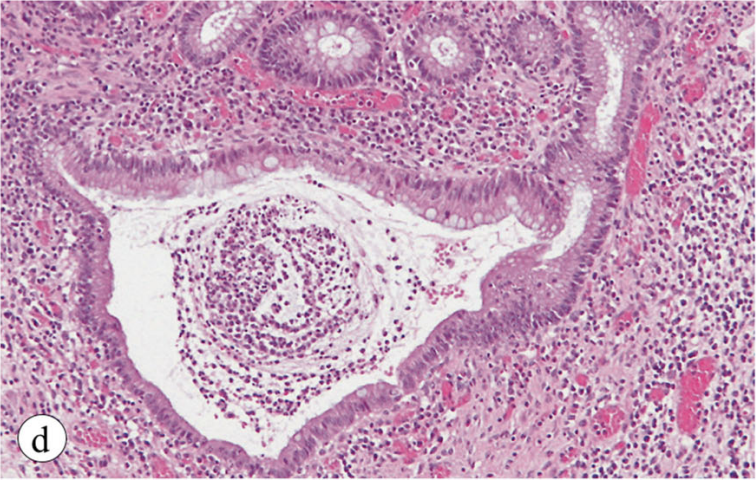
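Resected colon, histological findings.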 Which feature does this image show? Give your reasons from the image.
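A dilated crypt lined by columnar epithelium. A cluster of inflammatory cells lies within the crypt lumen. The surrounding stroma is densely packed with inflammatory cells.
Answer: A crypt abscess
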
